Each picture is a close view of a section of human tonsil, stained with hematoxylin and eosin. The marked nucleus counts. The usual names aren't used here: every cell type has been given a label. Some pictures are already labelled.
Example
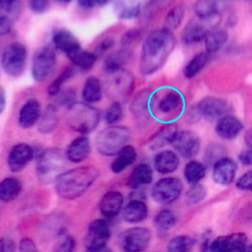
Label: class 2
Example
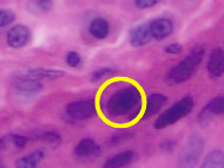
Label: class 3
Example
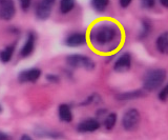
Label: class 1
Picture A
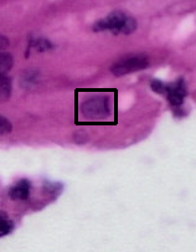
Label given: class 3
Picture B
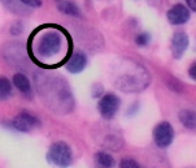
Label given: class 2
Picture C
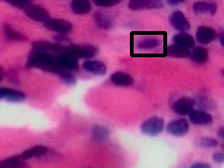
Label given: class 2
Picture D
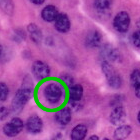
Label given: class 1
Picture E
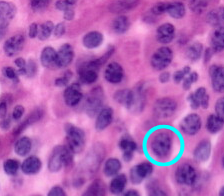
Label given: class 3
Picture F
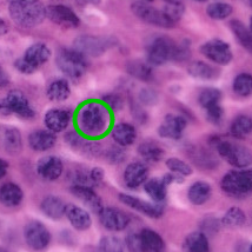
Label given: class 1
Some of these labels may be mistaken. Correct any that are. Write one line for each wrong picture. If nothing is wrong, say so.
E is labelled class 3; correct label: class 1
